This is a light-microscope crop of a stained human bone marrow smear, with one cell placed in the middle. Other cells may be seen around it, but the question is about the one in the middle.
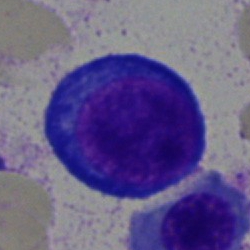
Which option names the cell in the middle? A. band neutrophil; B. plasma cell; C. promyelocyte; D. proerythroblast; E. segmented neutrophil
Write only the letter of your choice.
D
